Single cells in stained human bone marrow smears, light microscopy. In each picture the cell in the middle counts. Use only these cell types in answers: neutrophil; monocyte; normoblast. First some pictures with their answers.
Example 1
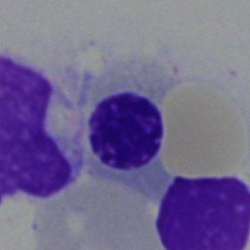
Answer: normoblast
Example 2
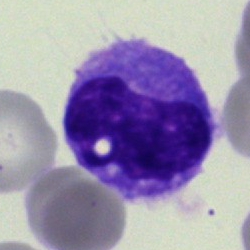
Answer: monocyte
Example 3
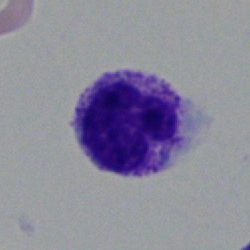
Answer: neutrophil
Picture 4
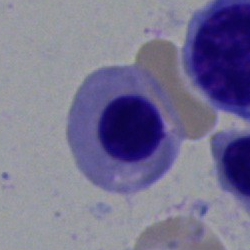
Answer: normoblast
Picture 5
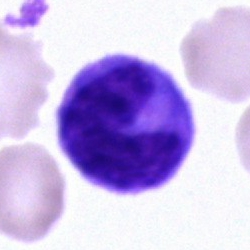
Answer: monocyte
